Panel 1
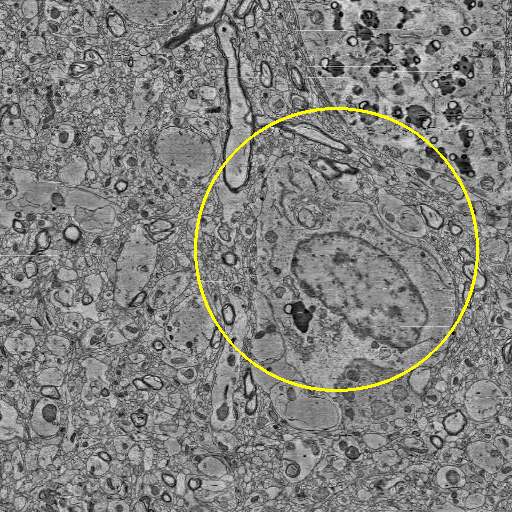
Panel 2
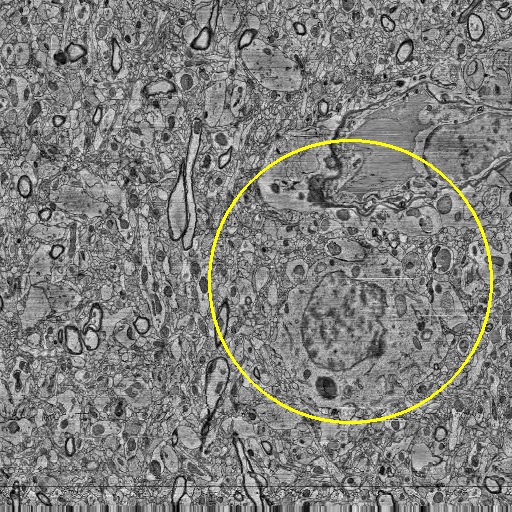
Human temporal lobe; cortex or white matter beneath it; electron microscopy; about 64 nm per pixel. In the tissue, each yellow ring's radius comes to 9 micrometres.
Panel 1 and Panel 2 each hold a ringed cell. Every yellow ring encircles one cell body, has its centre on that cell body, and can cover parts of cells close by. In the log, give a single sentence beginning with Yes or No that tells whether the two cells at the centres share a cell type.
Yes, in Panel 1 and Panel 2 the centred cells share a cell type.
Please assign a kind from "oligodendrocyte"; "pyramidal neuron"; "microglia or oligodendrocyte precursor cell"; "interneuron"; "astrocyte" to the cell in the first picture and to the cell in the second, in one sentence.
Each one of the two ringed cells is an interneuron.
